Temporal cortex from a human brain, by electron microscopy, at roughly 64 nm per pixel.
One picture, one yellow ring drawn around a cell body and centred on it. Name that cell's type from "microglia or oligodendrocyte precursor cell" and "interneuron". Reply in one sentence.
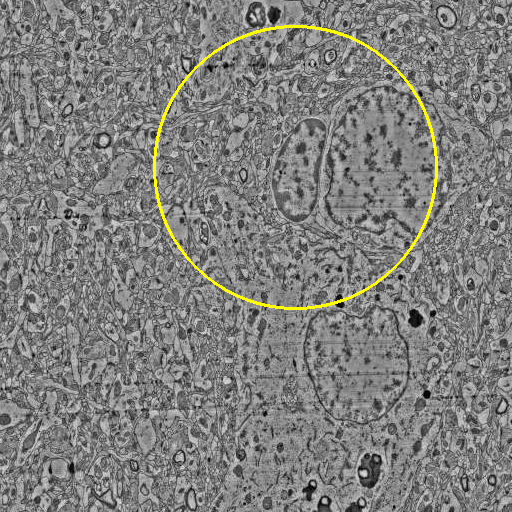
Centred in the ring is a microglial cell or oligodendrocyte precursor cell.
